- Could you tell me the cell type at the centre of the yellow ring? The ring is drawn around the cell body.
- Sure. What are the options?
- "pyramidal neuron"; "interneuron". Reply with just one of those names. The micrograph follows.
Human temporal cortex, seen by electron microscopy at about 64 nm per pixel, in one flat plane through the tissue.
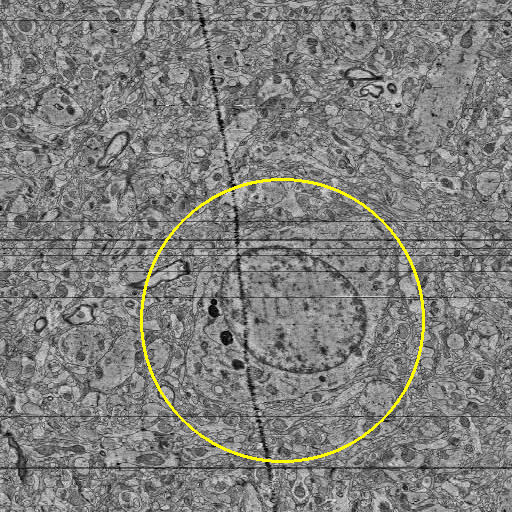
pyramidal neuron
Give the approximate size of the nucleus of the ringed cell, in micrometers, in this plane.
In this plane the nucleus measures roughly 10 by 8 micrometers.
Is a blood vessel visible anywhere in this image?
No, no vessel shows anywhere in the image.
